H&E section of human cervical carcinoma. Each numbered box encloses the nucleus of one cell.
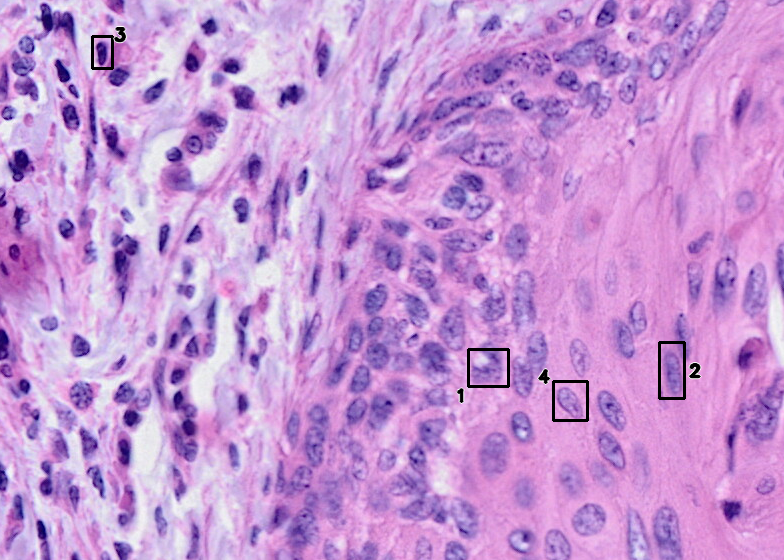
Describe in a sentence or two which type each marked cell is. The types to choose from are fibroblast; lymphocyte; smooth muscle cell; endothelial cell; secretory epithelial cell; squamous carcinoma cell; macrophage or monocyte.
Cell 1 is a squamous carcinoma cell, cell 2 is a squamous carcinoma cell, cell 3 is a lymphocyte and cell 4 is a squamous carcinoma cell.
